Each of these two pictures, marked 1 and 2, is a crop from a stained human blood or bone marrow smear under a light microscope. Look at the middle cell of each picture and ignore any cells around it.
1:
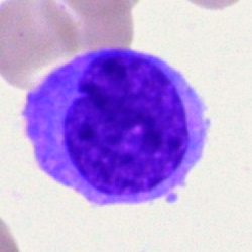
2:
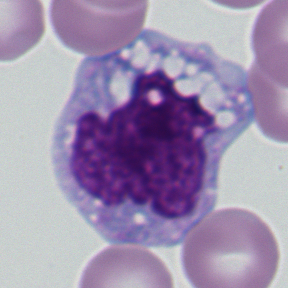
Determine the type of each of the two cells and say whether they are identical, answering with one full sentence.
Yes, the two crops both show monocytes.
